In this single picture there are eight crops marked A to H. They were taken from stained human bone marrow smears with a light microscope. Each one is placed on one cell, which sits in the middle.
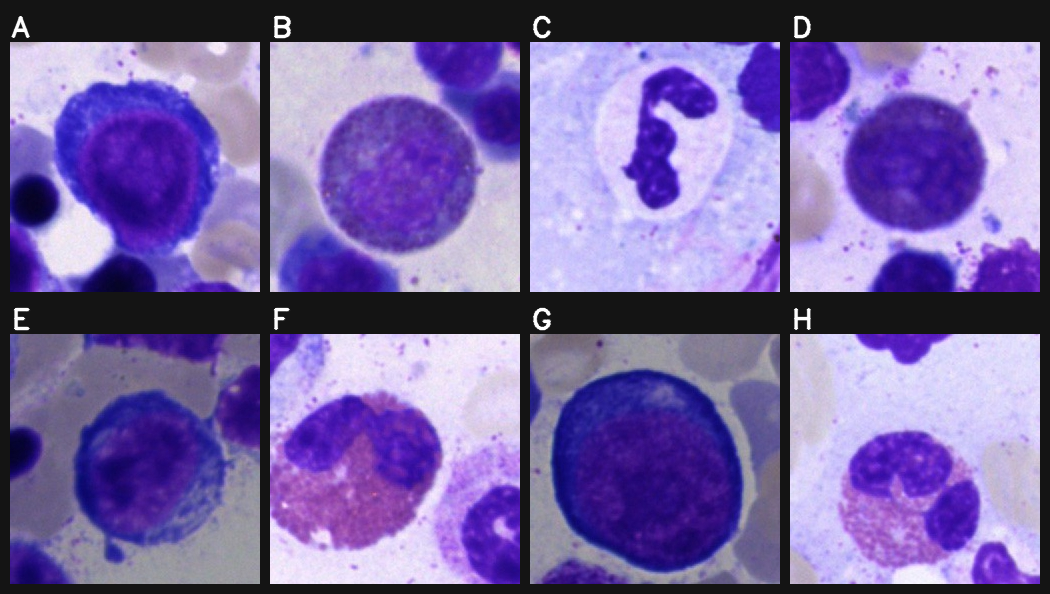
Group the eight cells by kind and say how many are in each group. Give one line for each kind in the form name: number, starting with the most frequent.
eosinophil: 4
proerythroblast: 3
segmented neutrophil: 1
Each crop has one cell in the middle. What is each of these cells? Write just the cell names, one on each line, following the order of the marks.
proerythroblast
eosinophil
segmented neutrophil
eosinophil
proerythroblast
eosinophil
proerythroblast
eosinophil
